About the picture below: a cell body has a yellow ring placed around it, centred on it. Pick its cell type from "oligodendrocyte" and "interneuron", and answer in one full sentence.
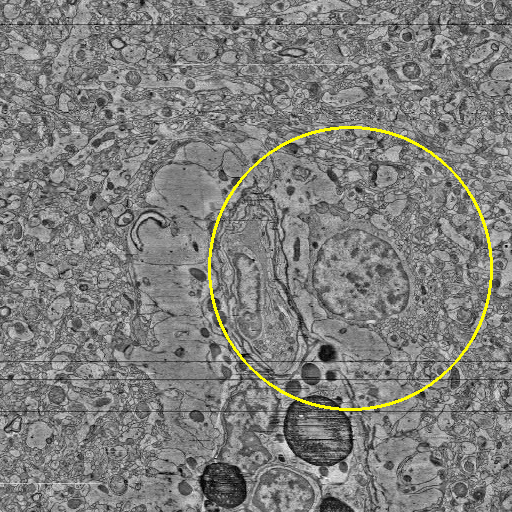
In the picture, an oligodendrocyte is the cell sitting at the centre of the yellow ring.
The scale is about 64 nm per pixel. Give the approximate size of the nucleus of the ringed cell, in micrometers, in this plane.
The nucleus of the ringed cell is approximately 7 by 6 micrometres in this plane.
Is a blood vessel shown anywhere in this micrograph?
Yes, the image shows a blood vessel.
